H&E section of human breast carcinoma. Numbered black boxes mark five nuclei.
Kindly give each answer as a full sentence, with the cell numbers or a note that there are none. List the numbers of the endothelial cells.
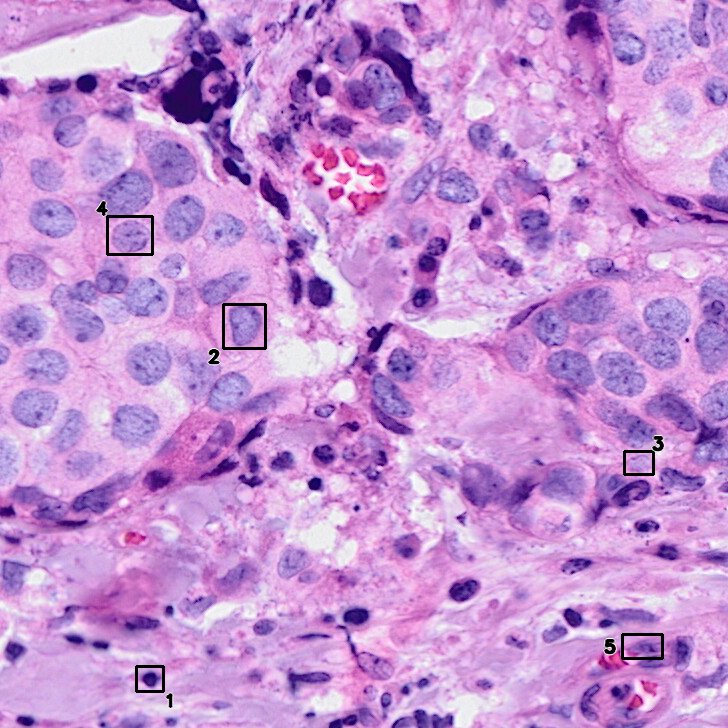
Cell number 5 alone is an endothelial cell; the rest are not.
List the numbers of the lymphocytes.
The nucleus labelled 1 alone belongs to a lymphocyte; the other marked nuclei do not.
